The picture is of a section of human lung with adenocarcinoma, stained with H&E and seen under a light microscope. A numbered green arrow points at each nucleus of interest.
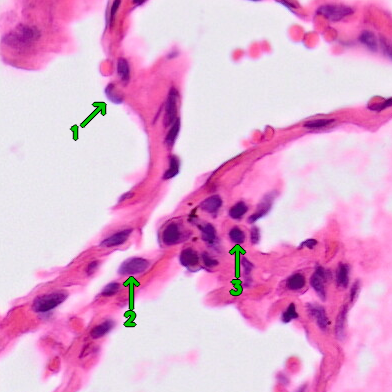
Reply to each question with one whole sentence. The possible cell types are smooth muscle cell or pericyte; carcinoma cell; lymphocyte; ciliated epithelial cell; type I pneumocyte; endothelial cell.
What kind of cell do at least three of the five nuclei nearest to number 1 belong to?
The majority of the five nuclei closest to number 1 belong to endothelial cells.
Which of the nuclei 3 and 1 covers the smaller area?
Nucleus 3 covers less area, with nucleus 1 about 1.5 times as large.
